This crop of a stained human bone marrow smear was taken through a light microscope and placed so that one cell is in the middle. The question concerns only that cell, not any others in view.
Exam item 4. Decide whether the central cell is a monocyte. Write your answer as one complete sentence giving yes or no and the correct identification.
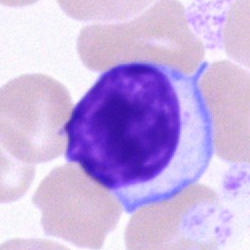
No, what is seen at the centre is a lymphocyte instead of a monocyte.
